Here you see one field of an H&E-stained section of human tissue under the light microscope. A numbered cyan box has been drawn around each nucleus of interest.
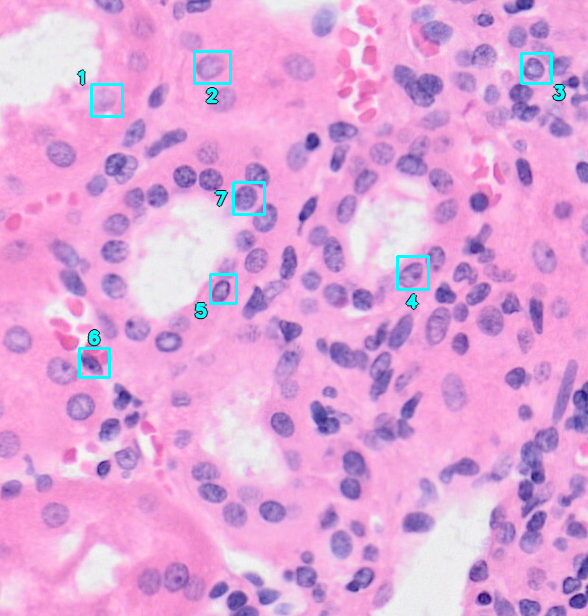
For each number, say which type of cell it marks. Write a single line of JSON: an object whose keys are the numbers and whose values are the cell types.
{"1": "proximal tubule cell", "2": "proximal tubule cell", "3": "collecting duct cell", "4": "collecting duct cell", "5": "collecting duct cell", "6": "endothelial cell", "7": "collecting duct cell"}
